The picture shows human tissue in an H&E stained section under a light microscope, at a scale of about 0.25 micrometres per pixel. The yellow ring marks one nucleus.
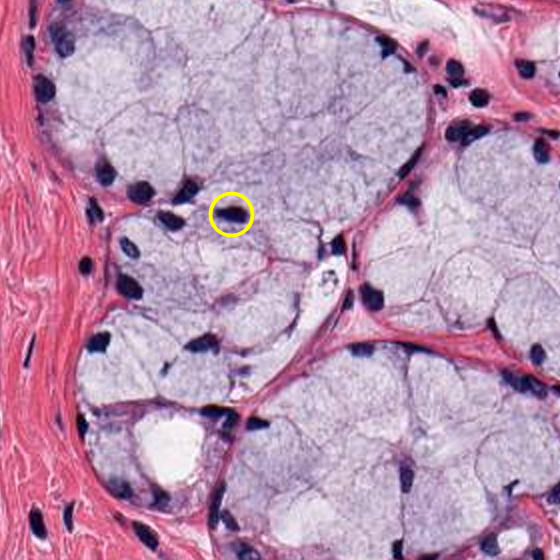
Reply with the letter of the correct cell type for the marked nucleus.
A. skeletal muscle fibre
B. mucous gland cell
B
